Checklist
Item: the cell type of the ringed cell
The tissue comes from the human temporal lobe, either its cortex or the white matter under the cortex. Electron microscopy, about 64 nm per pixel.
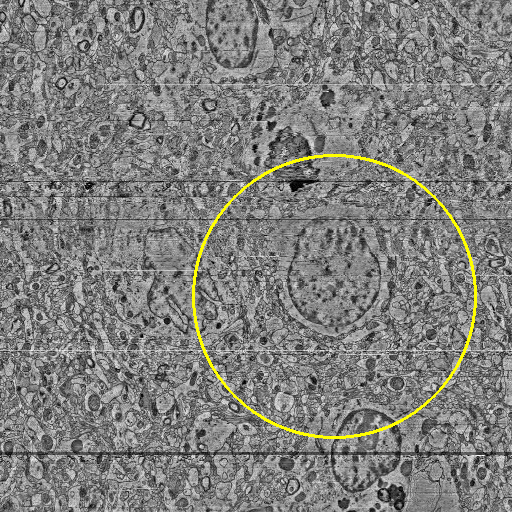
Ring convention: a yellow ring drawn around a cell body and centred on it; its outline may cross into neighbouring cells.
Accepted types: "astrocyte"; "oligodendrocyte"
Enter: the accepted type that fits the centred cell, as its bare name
astrocyte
